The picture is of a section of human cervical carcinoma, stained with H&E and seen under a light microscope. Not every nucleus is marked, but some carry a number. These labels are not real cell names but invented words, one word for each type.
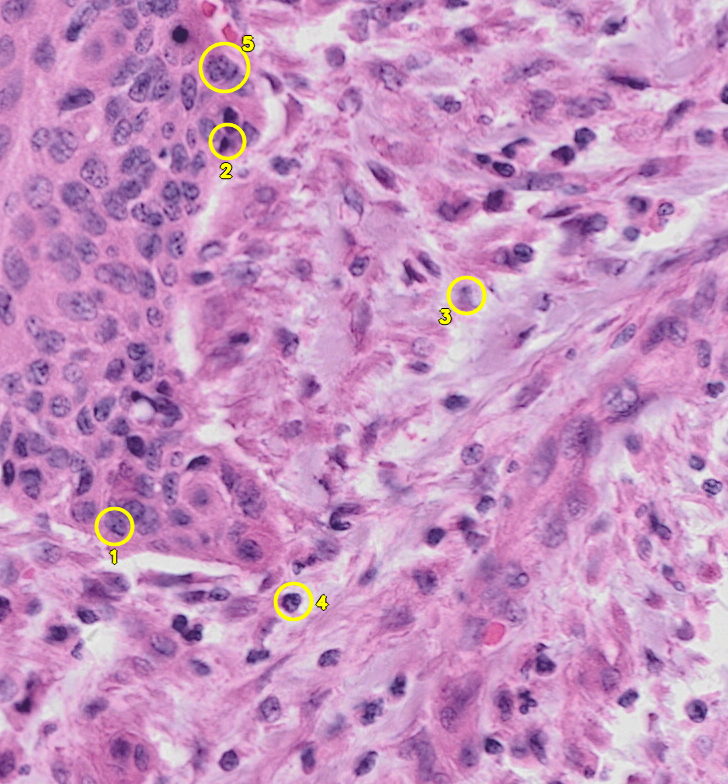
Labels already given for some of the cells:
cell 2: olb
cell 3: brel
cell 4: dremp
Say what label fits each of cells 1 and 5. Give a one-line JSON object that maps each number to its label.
{"1": "olb", "5": "olb"}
